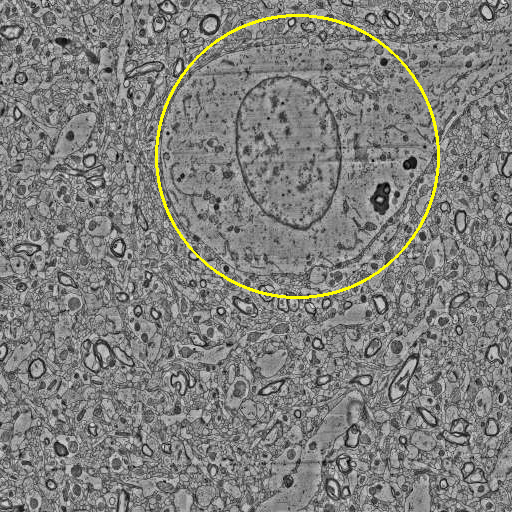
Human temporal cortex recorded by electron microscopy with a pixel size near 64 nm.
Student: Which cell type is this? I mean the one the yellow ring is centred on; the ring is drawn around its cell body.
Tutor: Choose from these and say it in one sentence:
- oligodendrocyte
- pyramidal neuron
The cell the ring is centred on is a pyramidal neuron.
